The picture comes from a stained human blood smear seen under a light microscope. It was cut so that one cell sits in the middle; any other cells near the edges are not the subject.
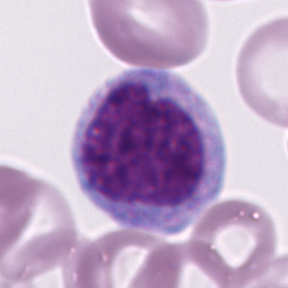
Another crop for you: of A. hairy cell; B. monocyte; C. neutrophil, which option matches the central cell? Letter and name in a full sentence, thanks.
The cell in the middle is a monocyte, and so option B is correct.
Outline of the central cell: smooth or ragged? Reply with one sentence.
Nothing juts out from the margin, which is smooth throughout.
